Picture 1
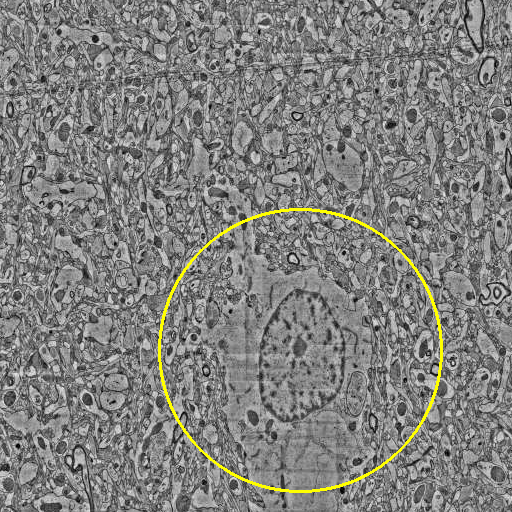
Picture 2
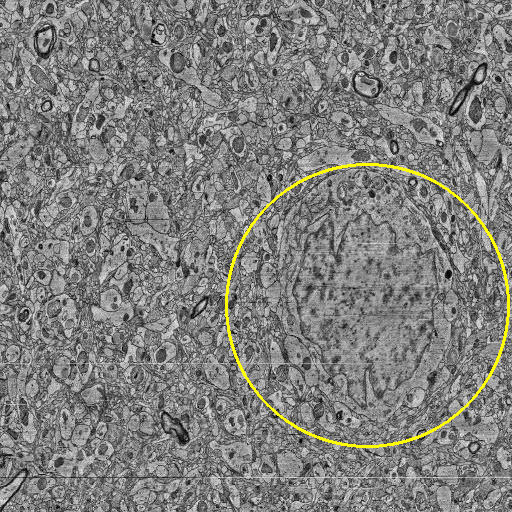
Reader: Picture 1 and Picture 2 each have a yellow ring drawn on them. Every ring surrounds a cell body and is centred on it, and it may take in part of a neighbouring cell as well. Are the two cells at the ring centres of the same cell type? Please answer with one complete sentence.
No, the cells are of two cell types.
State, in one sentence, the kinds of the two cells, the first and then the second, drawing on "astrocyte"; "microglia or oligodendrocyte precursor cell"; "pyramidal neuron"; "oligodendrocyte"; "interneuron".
The ring in the second picture is centred on an interneuron, the ring in the first on an astrocyte.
